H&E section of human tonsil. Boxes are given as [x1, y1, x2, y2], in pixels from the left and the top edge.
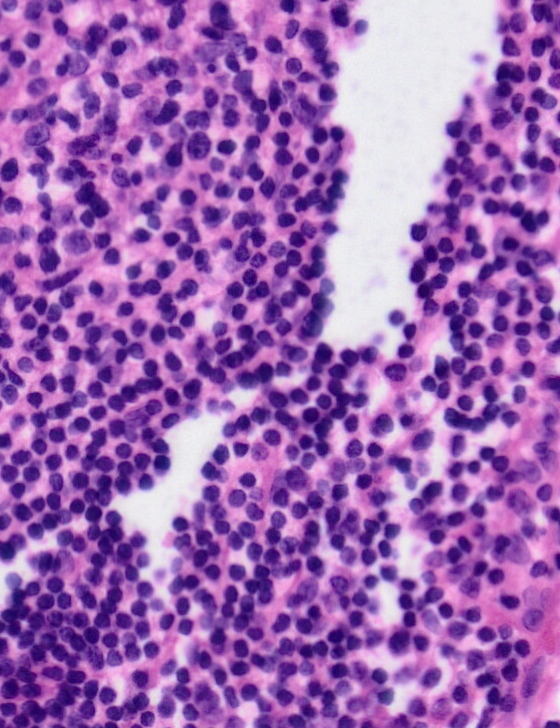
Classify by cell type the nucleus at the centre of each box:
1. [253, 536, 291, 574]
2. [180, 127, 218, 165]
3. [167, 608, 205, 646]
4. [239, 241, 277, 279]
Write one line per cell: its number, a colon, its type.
1: small lymphocyte
2: proliferating B cell
3: small lymphocyte
4: small lymphocyte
